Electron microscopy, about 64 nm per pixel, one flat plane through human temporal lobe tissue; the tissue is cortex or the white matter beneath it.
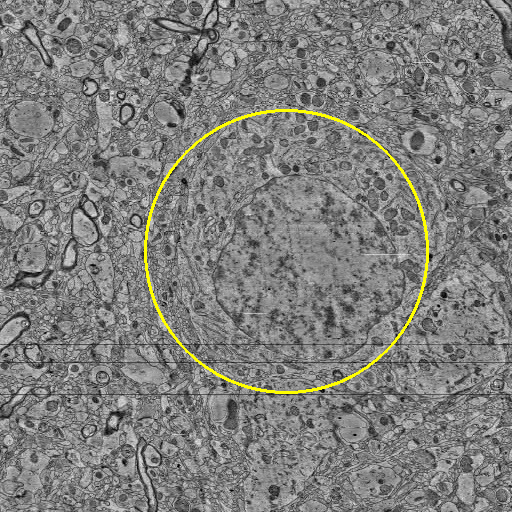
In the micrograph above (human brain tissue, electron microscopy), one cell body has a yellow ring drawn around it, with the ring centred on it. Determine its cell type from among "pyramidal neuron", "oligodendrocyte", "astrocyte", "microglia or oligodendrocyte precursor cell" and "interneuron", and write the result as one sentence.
The cell whose body is ringed is an interneuron.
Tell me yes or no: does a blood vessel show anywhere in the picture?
No, no blood vessel shows in the picture.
